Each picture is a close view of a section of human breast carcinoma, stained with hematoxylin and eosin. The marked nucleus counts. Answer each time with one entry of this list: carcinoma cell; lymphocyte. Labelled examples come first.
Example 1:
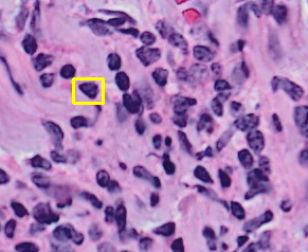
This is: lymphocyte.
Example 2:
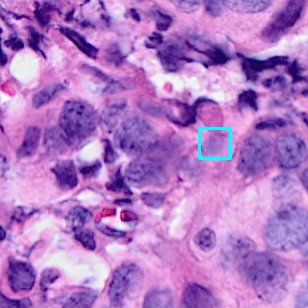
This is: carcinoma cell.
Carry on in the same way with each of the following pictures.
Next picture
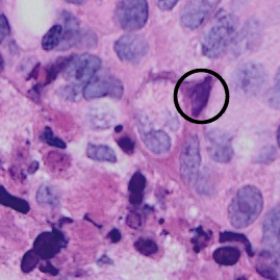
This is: carcinoma cell.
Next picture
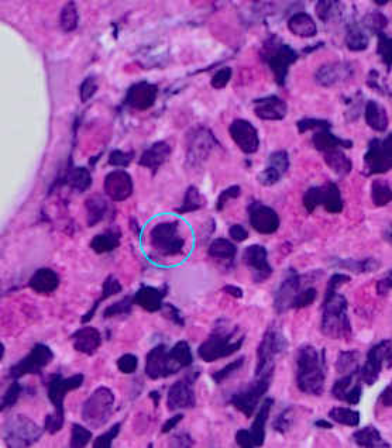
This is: carcinoma cell.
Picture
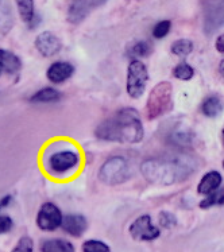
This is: lymphocyte.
